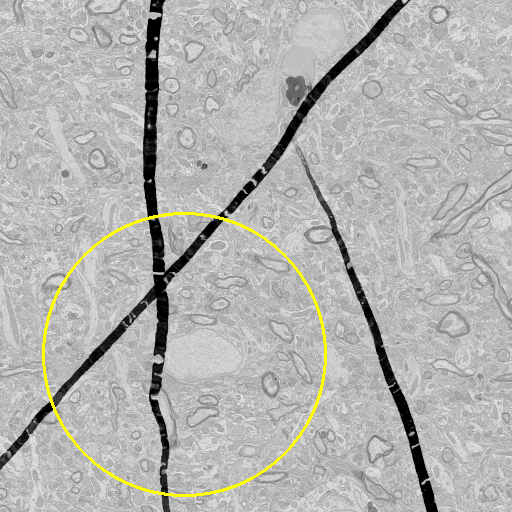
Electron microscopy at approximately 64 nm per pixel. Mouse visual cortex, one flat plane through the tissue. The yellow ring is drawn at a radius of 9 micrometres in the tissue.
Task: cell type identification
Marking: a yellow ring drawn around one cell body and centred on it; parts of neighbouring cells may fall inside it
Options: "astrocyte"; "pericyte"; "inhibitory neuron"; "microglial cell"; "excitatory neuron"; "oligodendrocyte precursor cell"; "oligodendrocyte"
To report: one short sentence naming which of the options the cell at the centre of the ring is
The cell at the centre of the ring is an oligodendrocyte precursor cell.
